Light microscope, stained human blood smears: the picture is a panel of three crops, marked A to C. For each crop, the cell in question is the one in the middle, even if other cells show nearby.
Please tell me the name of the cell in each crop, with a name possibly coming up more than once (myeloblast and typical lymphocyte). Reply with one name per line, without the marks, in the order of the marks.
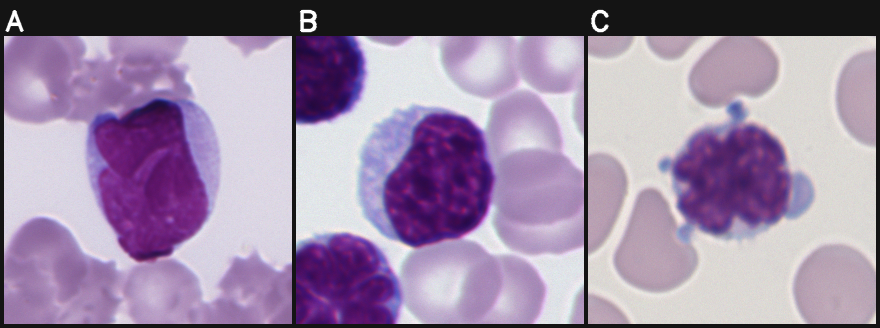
myeloblast
typical lymphocyte
myeloblast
